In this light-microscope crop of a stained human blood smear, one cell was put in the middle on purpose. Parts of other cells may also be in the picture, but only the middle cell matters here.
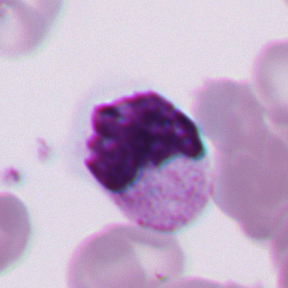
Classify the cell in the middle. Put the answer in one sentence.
Answering briefly, the cell in the middle is a segmented neutrophil.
